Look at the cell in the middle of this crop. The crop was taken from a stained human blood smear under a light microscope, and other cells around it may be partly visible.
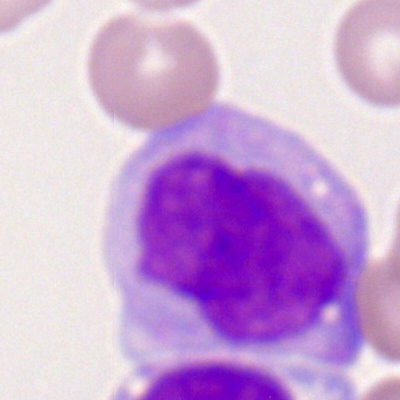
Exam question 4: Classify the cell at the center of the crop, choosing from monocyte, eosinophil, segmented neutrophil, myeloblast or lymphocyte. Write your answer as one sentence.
The cell occupying the middle of the crop is a monocyte.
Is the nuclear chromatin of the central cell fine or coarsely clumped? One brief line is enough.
Answer: the chromatin is fine and has no coarse clumps.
